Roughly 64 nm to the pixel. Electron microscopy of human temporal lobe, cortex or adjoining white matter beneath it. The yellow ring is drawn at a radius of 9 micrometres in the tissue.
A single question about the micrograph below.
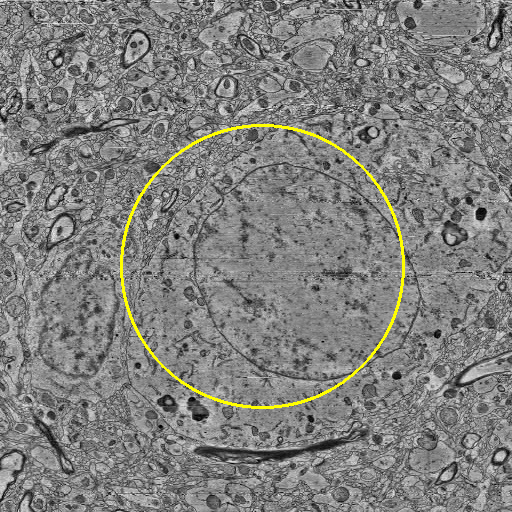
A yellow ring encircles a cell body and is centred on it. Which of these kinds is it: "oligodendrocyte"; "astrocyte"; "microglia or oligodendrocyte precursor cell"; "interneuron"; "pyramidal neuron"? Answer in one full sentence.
The cell body at the centre of the yellow ring belongs to a pyramidal neuron.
